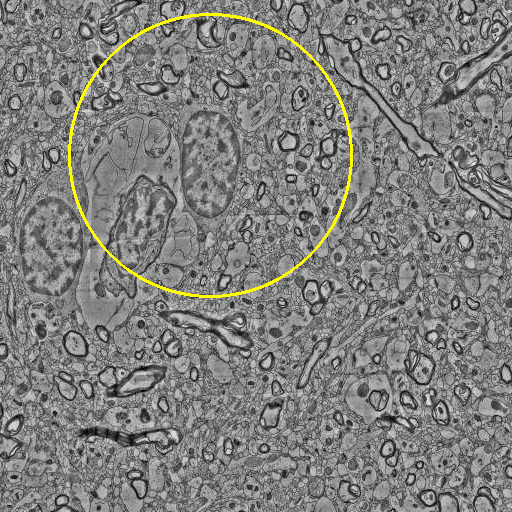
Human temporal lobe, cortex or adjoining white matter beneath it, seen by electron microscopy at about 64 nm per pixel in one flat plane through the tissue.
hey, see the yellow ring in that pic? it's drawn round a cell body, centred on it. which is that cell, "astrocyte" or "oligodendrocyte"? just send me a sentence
The cell in the ring is an oligodendrocyte.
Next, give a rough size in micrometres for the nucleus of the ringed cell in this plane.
Clearly longer than it is wide in this plane, the nucleus measures roughly 7 by 4 micrometres.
